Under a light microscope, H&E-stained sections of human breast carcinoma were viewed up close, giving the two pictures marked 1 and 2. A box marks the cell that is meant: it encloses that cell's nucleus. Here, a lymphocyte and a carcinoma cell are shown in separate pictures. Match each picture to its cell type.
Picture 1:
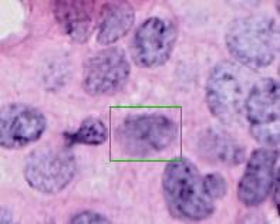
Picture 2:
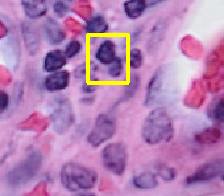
1: carcinoma cell
2: lymphocyte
